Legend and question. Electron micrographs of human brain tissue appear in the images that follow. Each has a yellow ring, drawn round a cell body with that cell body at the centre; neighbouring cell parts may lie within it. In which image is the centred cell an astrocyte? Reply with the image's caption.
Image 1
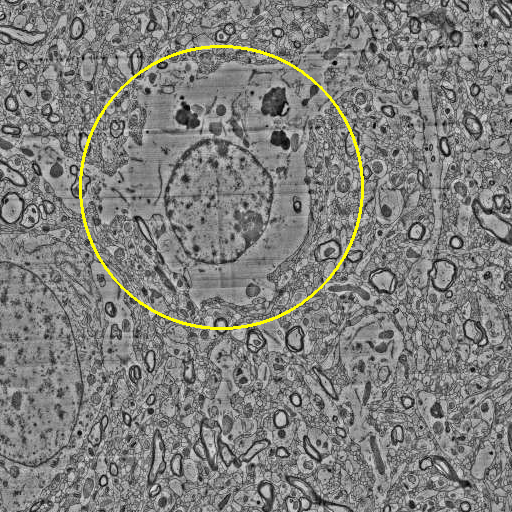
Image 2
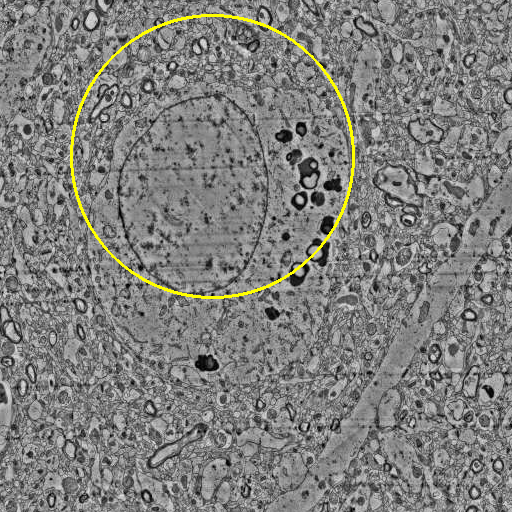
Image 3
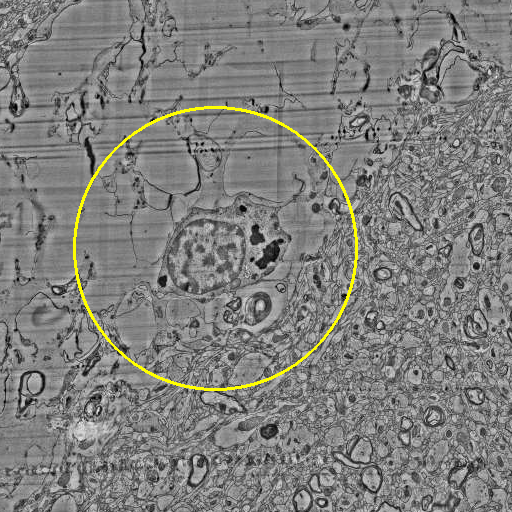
Image 1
